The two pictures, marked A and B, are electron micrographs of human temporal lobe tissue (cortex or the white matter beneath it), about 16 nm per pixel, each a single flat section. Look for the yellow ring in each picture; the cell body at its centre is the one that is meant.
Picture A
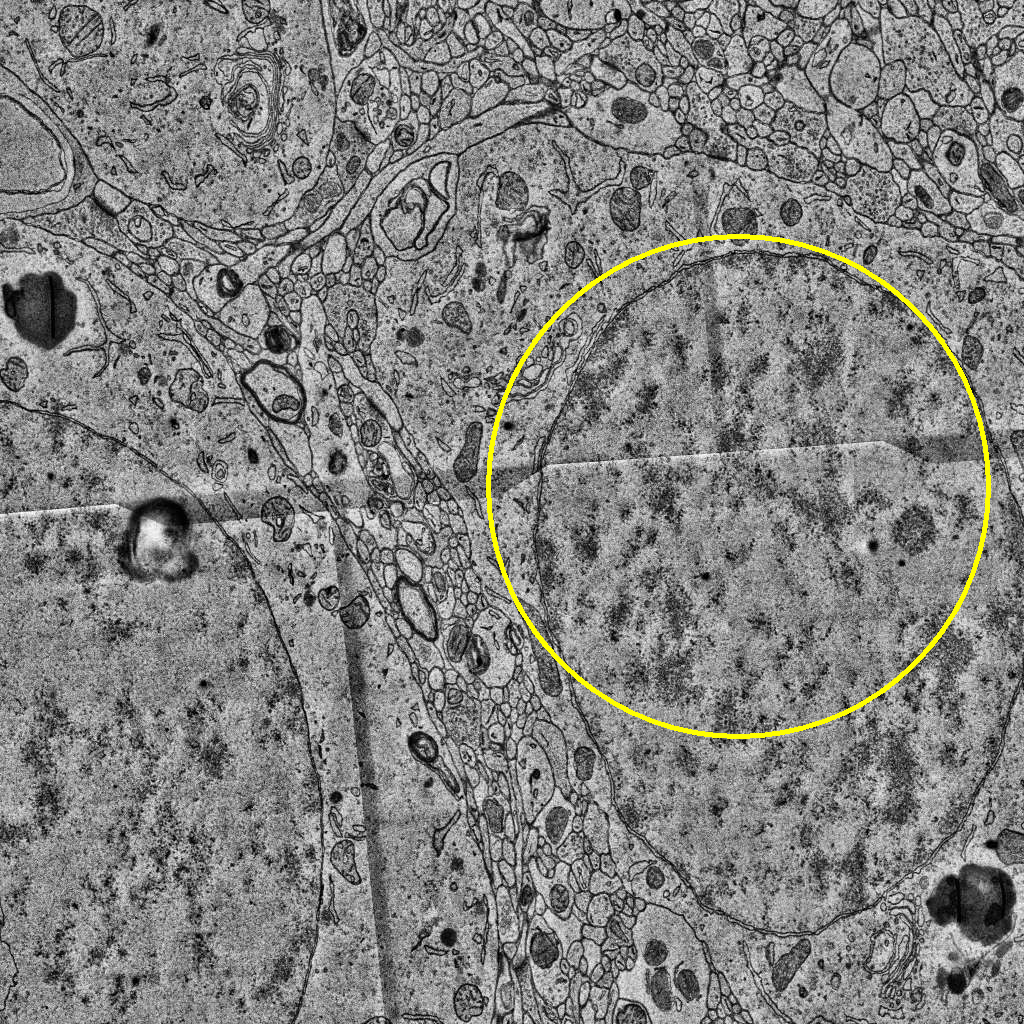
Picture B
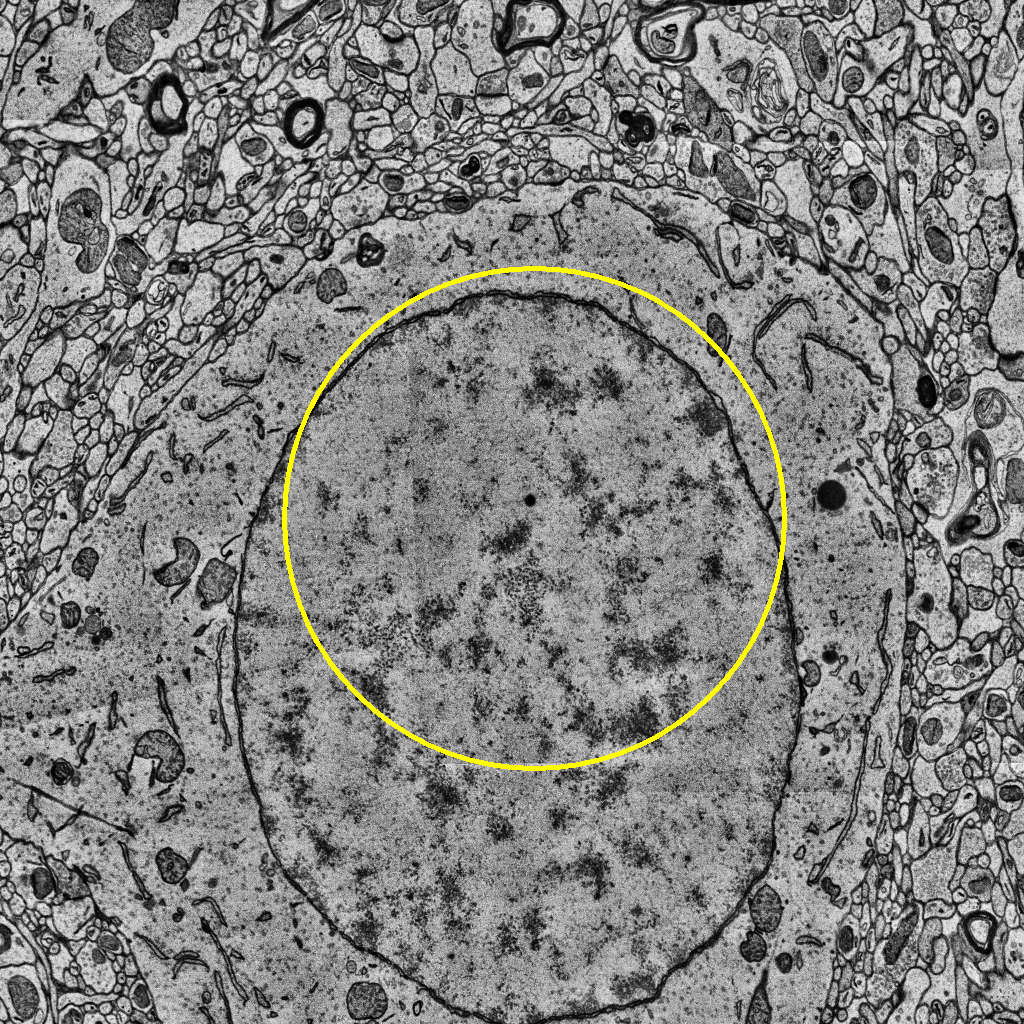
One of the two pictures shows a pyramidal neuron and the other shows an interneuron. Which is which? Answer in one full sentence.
Picture B shows a pyramidal neuron, while picture A shows an interneuron.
